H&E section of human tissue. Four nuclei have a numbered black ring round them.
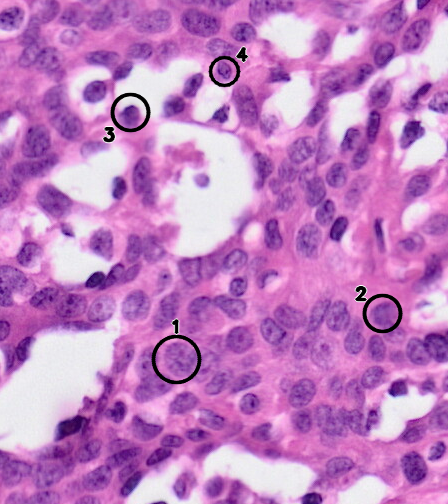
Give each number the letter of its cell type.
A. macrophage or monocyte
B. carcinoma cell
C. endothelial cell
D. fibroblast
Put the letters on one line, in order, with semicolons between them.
B; B; B; A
